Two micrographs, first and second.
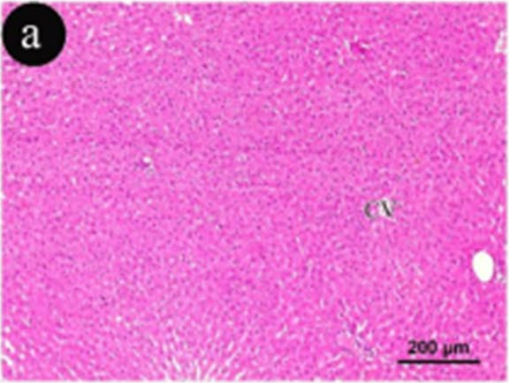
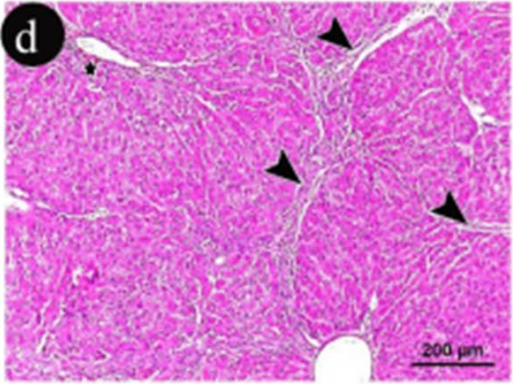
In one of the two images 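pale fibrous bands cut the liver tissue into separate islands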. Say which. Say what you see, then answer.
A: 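Second image: pale, branching bands cross the pink tissue and split it into irregular islands. First image: the pink liver tissue is even and continuous, with no such bands.
Hence: the second image.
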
